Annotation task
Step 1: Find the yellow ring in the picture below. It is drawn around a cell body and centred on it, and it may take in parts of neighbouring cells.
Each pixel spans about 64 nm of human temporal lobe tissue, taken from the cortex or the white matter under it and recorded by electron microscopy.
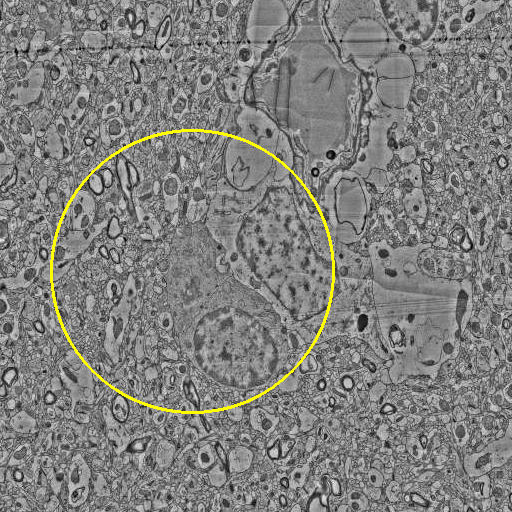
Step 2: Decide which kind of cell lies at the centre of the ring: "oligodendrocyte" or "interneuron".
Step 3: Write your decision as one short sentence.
The kind of cell at the ring's centre is an oligodendrocyte.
